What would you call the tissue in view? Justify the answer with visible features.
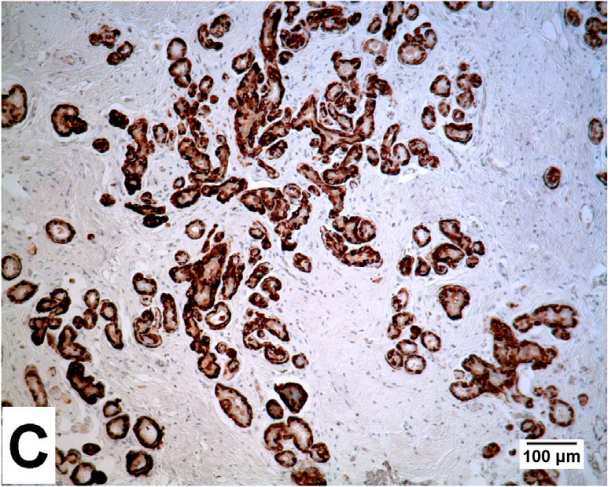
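Breast lobules. Clusters of many small rounded glandular units with small lumens. Clusters set in pale fibrous stroma. Gland units outlined by brown staining.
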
